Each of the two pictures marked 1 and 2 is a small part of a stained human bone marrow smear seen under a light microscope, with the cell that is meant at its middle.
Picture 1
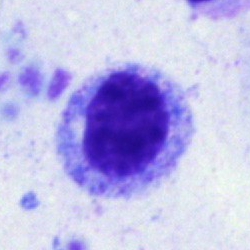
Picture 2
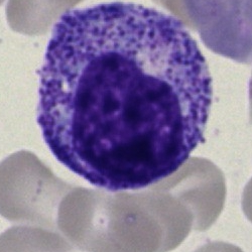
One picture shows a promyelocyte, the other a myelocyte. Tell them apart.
1: myelocyte
2: promyelocyte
